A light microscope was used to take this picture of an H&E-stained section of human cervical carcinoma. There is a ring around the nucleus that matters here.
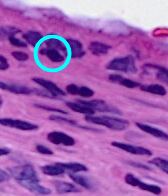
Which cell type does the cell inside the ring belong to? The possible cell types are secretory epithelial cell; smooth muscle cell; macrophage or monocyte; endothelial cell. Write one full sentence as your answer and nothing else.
Just put down that the cell inside the ring is a secretory epithelial cell.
